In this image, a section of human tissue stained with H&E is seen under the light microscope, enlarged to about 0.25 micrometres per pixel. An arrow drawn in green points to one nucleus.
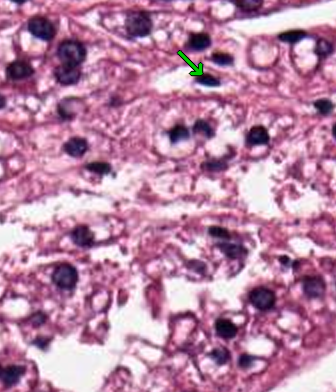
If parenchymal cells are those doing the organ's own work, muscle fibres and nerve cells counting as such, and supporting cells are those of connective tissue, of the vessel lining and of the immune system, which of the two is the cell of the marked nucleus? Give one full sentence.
The marked nucleus is located within a supporting cell.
